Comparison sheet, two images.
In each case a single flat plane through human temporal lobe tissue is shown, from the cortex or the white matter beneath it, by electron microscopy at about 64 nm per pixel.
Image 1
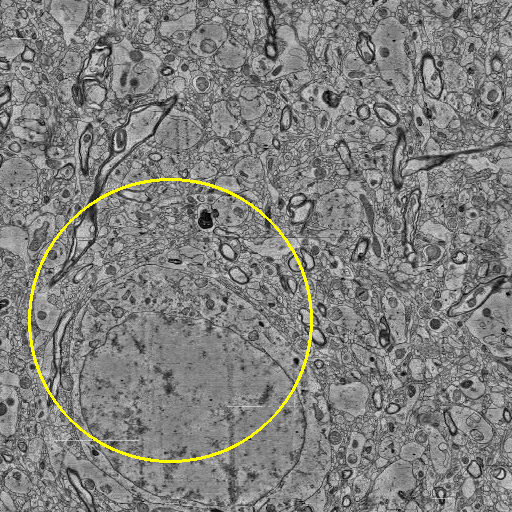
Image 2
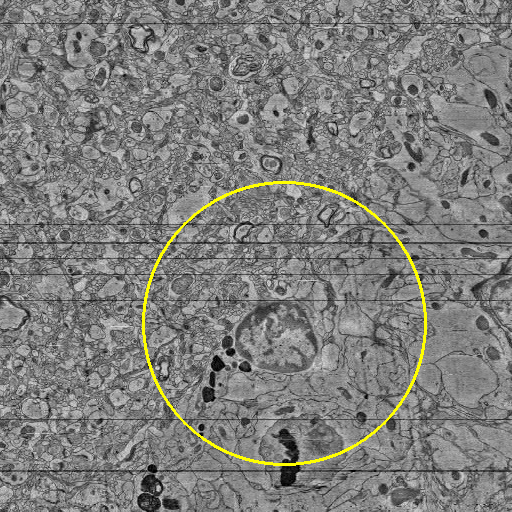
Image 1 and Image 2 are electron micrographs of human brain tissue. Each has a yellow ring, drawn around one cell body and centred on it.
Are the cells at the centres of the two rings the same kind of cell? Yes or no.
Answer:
no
